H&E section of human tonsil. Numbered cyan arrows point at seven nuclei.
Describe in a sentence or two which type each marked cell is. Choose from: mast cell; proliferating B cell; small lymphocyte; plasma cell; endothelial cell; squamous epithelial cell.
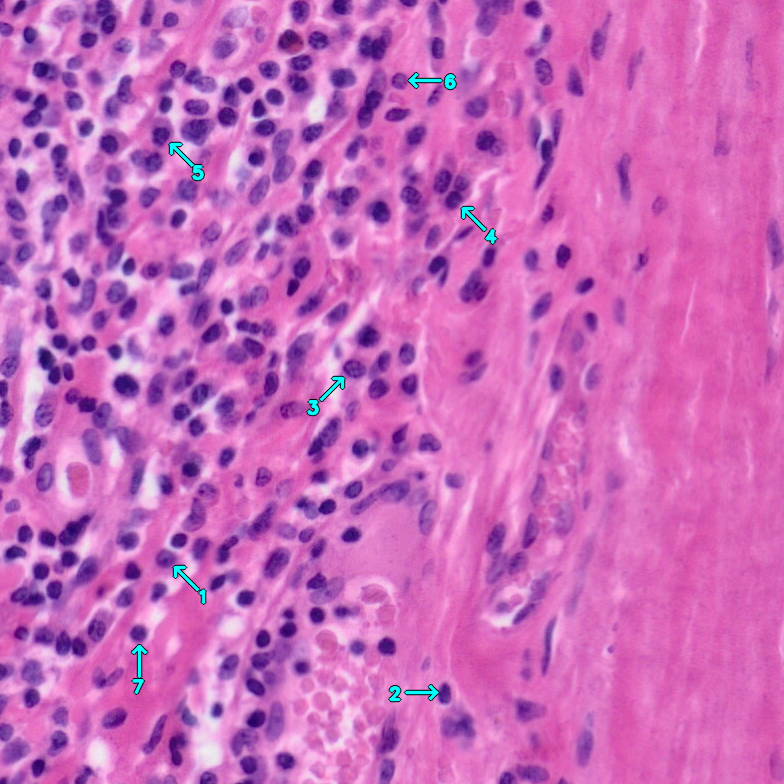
Cells 1, 3, 4 and 5 are plasma cells. Cells 2, 6 and 7 are mast cells.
